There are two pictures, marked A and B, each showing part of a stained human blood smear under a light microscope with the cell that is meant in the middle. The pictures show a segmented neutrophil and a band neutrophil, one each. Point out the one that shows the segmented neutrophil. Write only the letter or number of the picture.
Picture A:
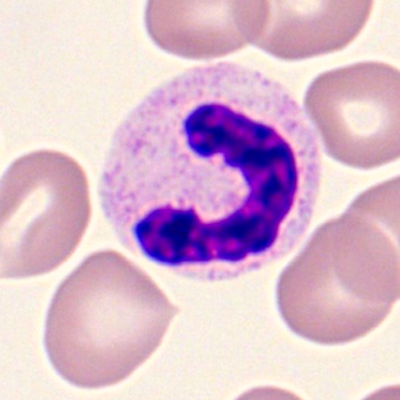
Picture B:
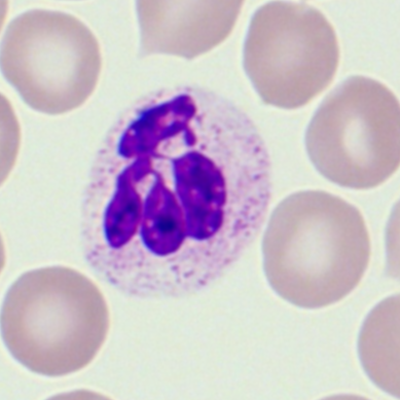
B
